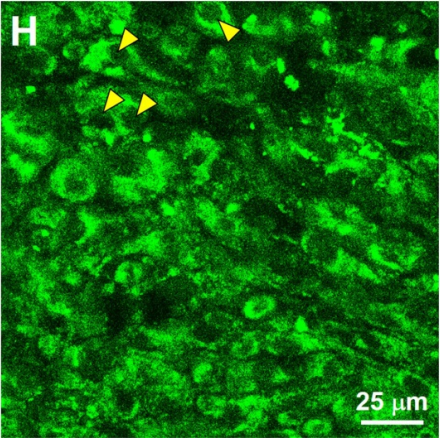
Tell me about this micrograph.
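The nuclei do not fluoresce and stand out as dark, rounded to oval holes inside green rims of cytoplasm. These dark nuclear spaces vary in size and shape from cell to cell, and the cells lie crowded without an orderly arrangement.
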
